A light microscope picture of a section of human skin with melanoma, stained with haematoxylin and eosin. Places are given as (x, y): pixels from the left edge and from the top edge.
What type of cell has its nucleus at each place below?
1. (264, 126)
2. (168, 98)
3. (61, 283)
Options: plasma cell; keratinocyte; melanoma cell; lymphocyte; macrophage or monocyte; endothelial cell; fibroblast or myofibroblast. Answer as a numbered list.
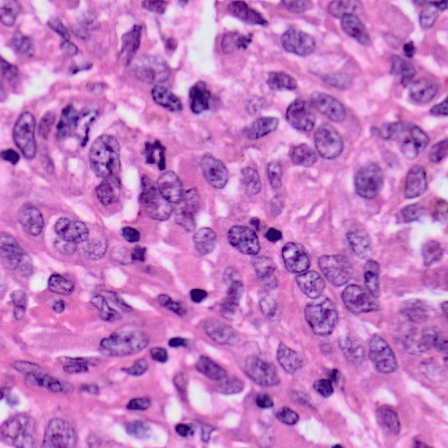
1. melanoma cell
2. melanoma cell
3. macrophage or monocyte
